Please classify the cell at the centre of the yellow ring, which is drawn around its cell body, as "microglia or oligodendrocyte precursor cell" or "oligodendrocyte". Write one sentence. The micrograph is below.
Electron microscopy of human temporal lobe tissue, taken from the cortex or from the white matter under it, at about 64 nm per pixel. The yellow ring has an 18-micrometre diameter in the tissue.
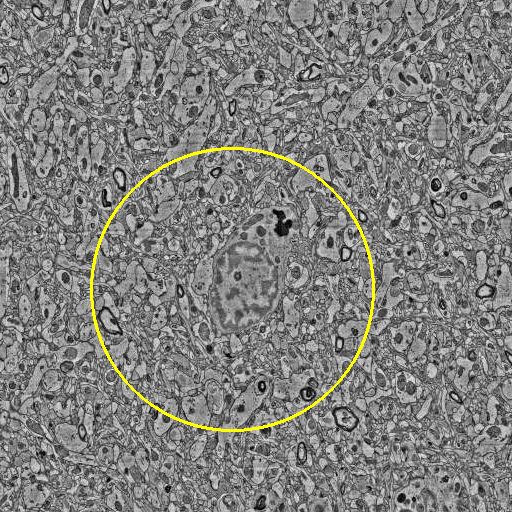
The cell at the ring's centre is classified as an oligodendrocyte.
